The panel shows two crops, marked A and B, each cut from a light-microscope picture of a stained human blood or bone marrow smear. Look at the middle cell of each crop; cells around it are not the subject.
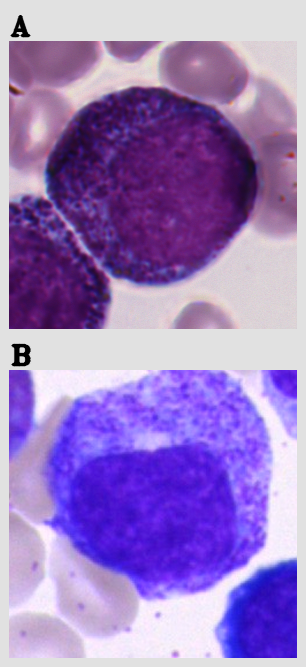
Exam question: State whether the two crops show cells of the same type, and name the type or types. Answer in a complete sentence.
Yes, shown in both crops are promyelocytes.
